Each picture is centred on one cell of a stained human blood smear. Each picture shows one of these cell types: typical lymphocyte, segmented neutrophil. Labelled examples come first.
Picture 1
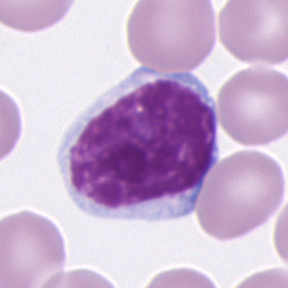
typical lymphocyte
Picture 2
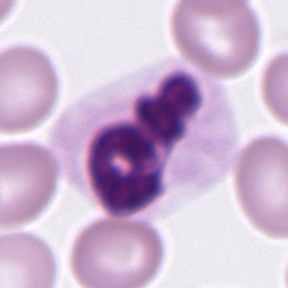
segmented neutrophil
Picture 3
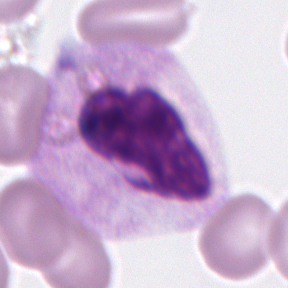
segmented neutrophil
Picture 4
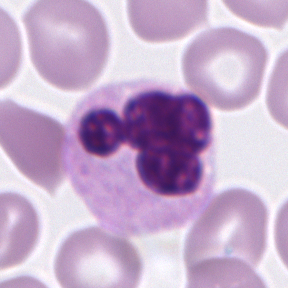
segmented neutrophil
